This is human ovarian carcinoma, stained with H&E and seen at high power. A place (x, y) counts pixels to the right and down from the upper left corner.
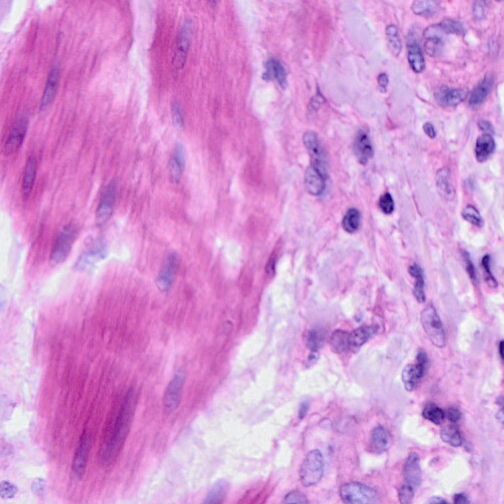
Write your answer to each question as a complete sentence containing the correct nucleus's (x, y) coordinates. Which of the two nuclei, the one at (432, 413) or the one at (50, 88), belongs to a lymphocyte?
The nucleus at (432, 413) is part of a lymphocyte, while the other is not.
